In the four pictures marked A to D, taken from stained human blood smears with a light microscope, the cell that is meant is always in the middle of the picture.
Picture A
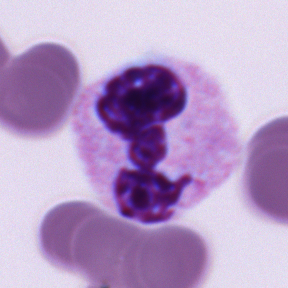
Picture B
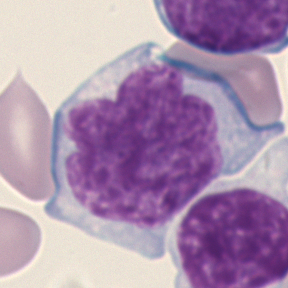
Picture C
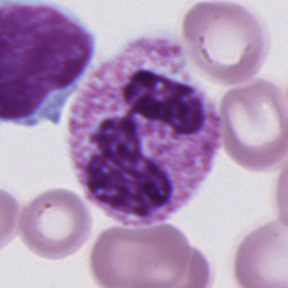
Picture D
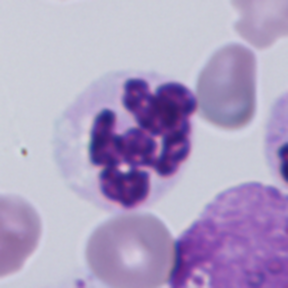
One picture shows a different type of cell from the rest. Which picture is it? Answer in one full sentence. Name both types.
Unlike the rest, which show segmented neutrophils, picture B shows a myeloblast.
